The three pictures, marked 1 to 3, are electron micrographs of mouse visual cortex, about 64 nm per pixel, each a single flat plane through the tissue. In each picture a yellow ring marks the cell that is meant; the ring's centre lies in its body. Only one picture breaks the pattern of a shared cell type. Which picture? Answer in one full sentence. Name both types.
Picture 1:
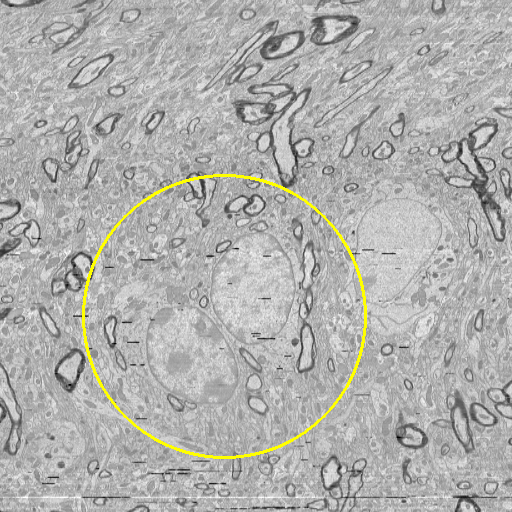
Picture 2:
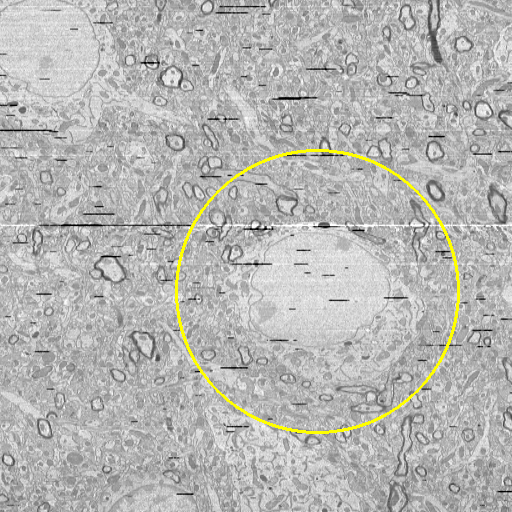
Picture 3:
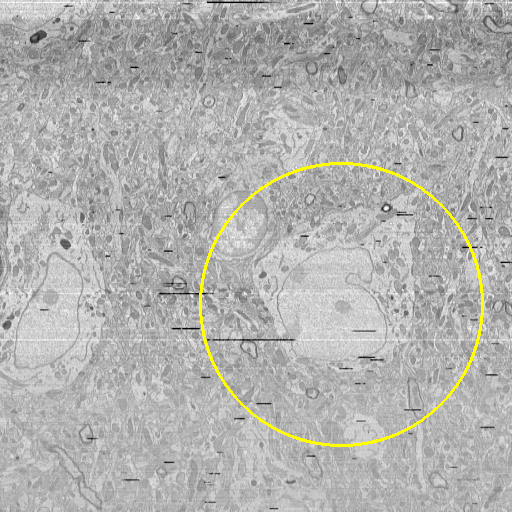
The different one is picture 1; it shows an oligodendrocyte, whereas all the others show excitatory neurons.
